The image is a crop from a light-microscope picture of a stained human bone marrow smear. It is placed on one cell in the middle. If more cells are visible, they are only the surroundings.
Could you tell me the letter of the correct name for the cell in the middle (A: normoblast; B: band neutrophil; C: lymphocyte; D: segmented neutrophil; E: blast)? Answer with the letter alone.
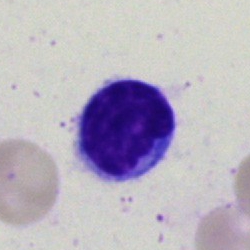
C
